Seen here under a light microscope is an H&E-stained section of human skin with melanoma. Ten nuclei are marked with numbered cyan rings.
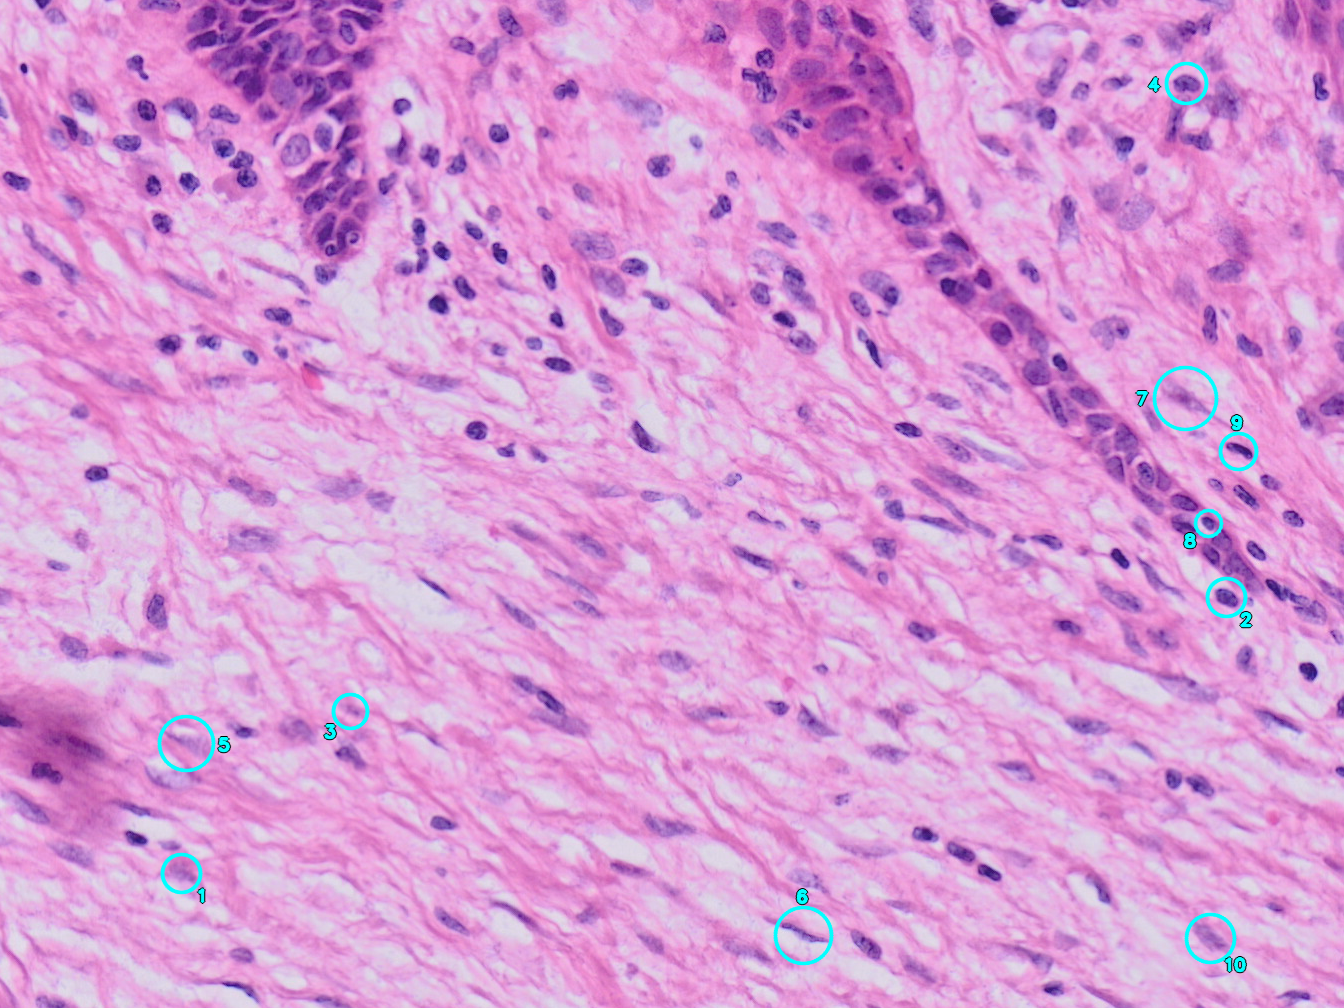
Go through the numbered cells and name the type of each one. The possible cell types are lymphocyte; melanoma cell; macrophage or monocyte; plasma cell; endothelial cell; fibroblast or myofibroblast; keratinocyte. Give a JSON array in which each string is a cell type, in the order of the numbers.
["fibroblast or myofibroblast", "lymphocyte", "fibroblast or myofibroblast", "lymphocyte", "fibroblast or myofibroblast", "fibroblast or myofibroblast", "fibroblast or myofibroblast", "lymphocyte", "lymphocyte", "fibroblast or myofibroblast"]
